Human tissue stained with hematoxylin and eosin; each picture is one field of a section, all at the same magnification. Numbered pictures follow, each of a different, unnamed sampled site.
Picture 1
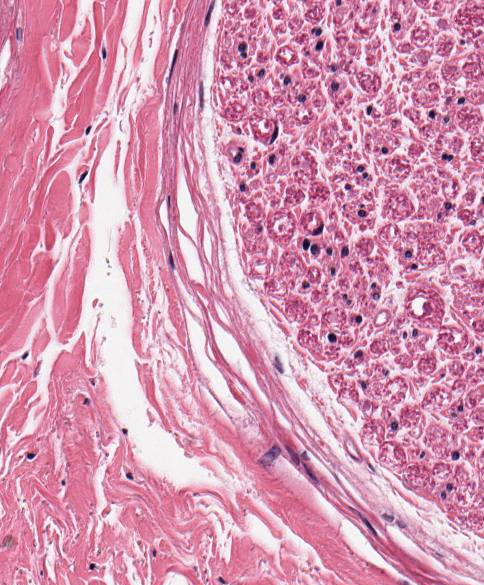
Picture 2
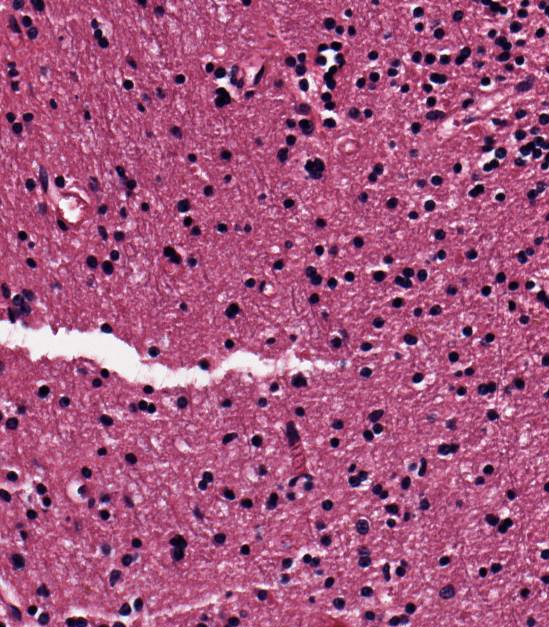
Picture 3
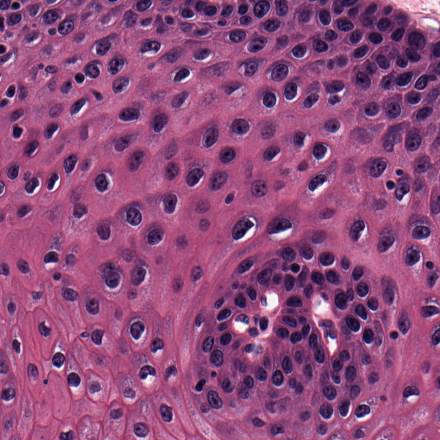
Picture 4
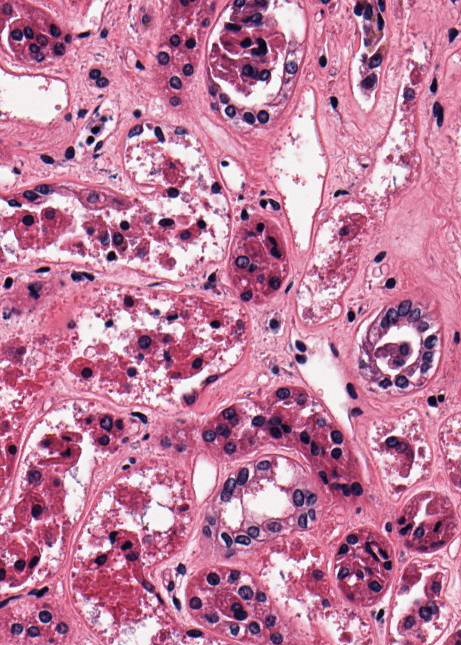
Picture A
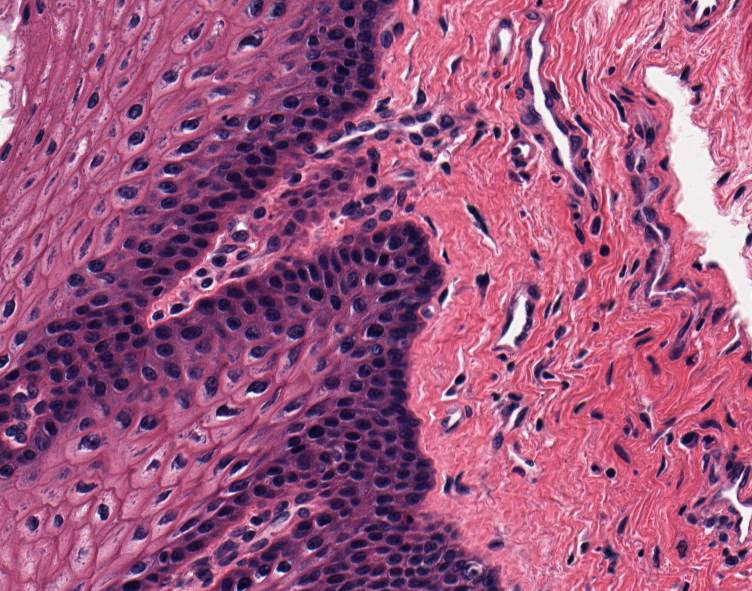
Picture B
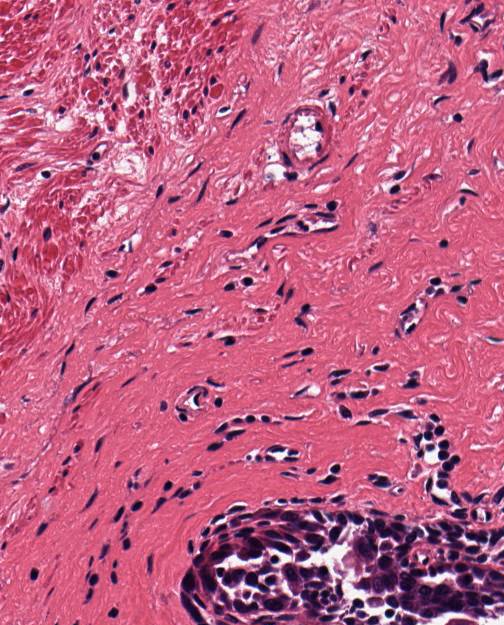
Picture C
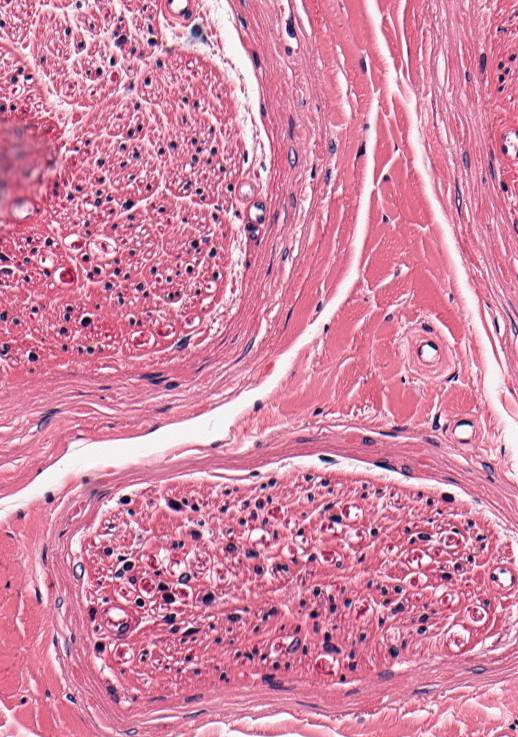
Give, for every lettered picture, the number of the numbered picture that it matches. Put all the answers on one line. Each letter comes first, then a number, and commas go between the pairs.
A 3, B 3, C 1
